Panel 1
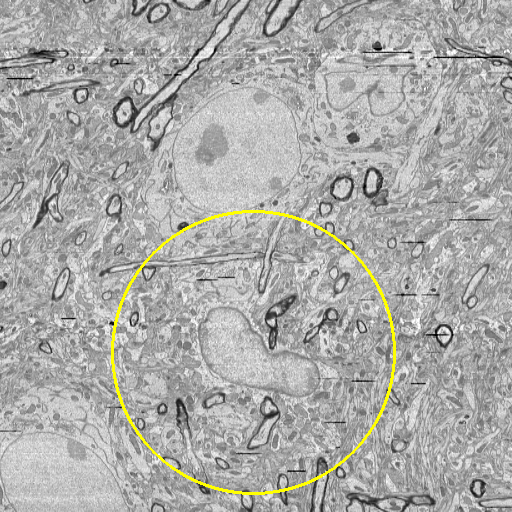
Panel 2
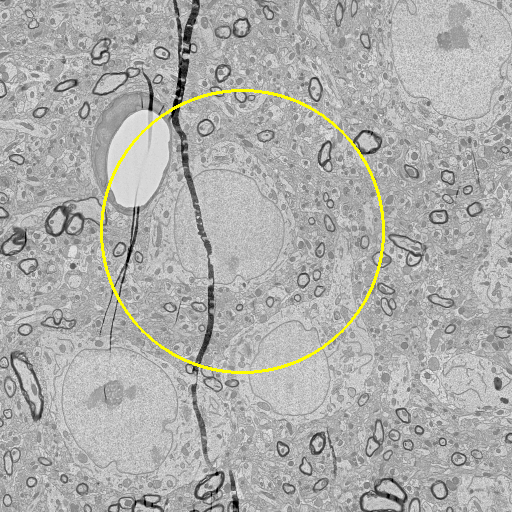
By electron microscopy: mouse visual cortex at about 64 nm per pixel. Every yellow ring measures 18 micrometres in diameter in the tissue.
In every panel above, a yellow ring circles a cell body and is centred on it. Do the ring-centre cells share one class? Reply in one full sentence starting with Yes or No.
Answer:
No, the two cells at the ring centres in the panels belong to two classes.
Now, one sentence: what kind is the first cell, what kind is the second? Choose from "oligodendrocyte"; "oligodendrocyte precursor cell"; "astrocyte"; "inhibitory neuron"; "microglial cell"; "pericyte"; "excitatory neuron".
The first picture has an astrocyte at its ring centre, and the second has an excitatory neuron.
